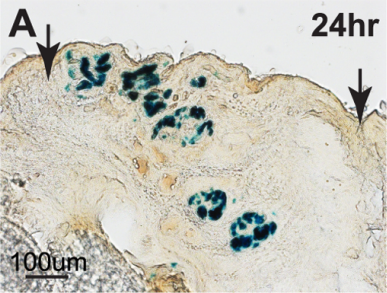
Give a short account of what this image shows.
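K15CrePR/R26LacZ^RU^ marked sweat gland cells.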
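The surface epidermis, bounded by two black arrows, is a thin pale layer without blue staining; the dermis around the clusters is pale with loose, lightly brown-tinged connective tissue. No blue cells are seen reaching up into the surface layer. A band of denser tissue runs along the lower left edge.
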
